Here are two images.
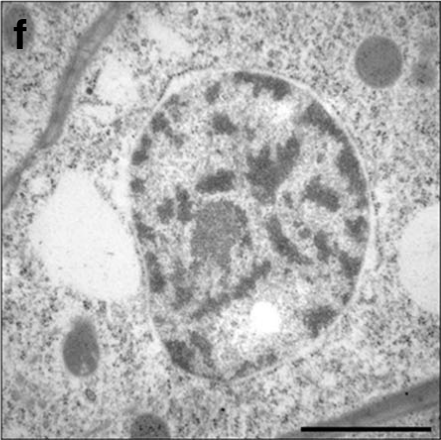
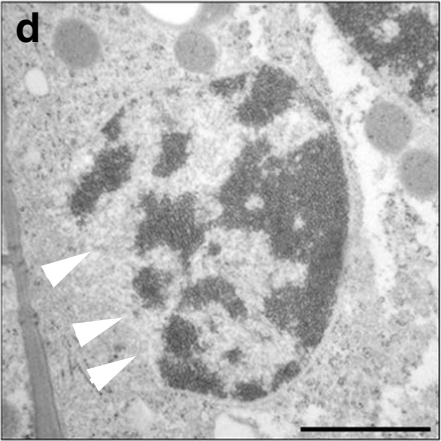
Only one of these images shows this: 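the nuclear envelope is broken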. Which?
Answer: the second image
